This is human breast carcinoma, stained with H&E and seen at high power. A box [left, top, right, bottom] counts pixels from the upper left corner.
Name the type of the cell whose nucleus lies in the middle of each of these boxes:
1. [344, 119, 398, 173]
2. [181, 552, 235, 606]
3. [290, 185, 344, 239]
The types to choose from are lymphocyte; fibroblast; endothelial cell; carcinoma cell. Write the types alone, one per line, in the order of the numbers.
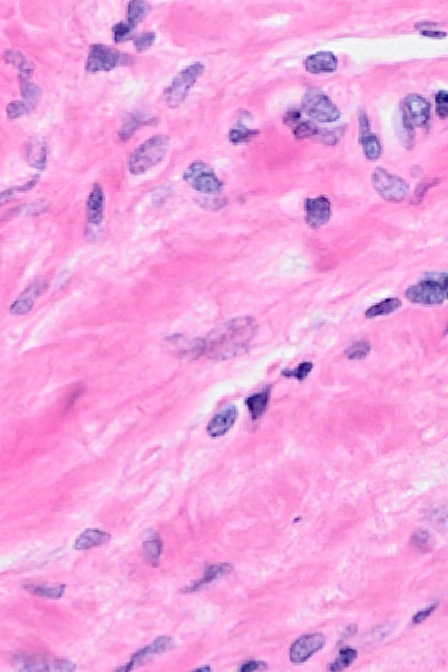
endothelial cell
fibroblast
lymphocyte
